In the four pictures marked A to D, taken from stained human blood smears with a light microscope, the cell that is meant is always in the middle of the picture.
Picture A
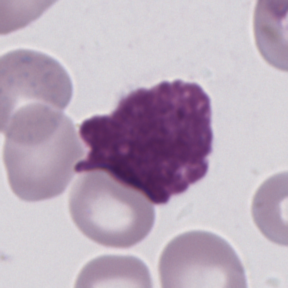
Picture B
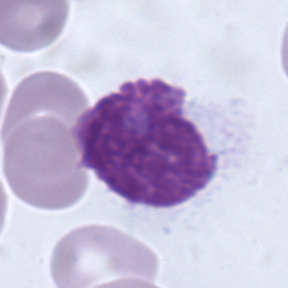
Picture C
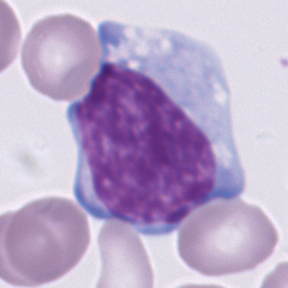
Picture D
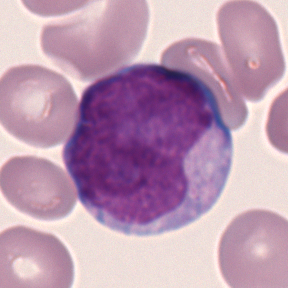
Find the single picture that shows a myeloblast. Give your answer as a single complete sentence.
The myeloblast is the one in picture C.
